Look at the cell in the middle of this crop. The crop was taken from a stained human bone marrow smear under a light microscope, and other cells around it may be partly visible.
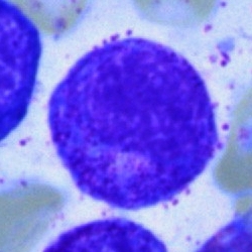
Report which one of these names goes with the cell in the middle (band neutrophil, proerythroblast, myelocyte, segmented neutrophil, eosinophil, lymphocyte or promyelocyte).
promyelocyte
